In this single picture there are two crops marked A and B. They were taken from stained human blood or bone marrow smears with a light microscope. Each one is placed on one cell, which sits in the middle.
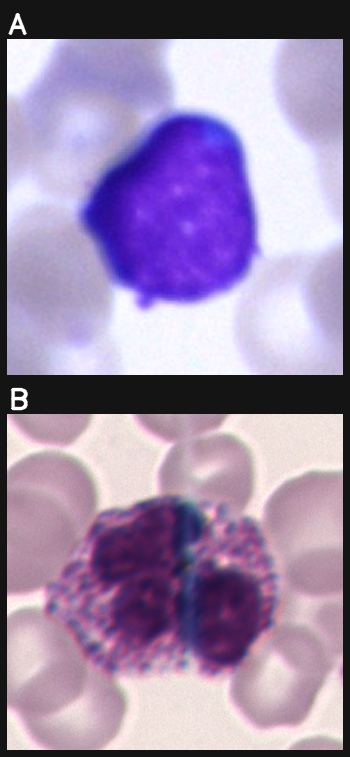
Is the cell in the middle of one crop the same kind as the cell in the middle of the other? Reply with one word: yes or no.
no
